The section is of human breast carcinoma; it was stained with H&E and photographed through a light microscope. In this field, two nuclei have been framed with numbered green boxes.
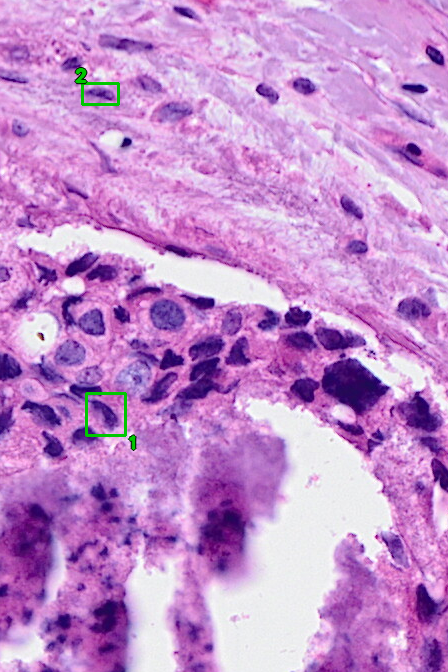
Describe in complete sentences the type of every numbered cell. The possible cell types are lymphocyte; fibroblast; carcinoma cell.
Cell 1 is a carcinoma cell. Cell 2 is a fibroblast.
